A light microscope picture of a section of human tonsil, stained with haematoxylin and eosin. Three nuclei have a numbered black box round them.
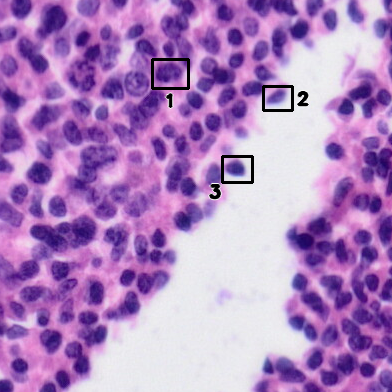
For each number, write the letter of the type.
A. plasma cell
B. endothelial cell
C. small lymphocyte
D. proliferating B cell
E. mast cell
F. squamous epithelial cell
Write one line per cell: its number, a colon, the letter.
1: D
2: C
3: C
